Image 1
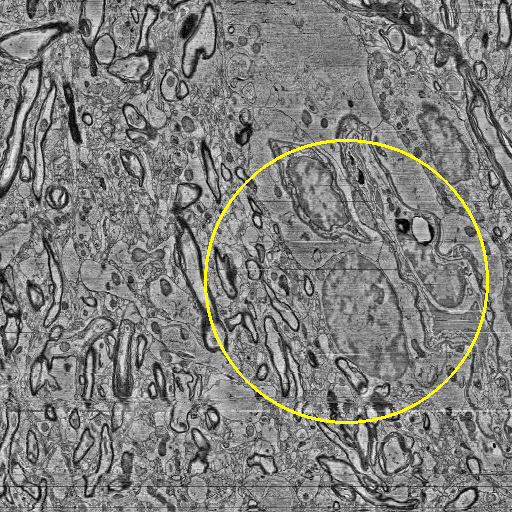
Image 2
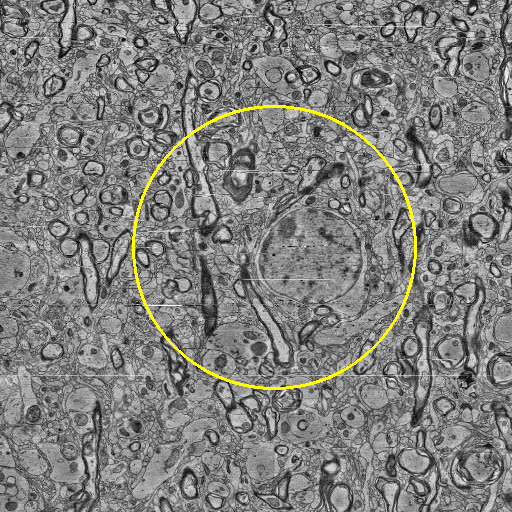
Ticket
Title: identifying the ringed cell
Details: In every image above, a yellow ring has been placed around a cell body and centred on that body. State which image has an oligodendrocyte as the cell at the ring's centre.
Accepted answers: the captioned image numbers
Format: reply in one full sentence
The ring in image 1 is centred on the cell in question.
